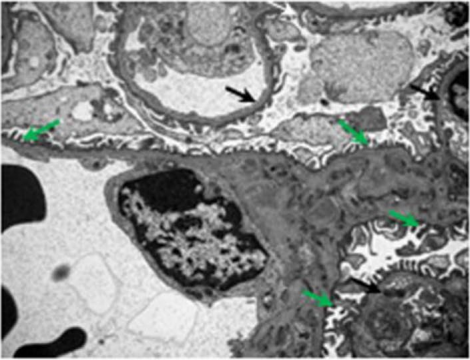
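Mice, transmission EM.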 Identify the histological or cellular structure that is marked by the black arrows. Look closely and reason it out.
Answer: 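The arrows point at a thin continuous grey band. The band separates a capillary lumen from a row of small cytoplasmic profiles on its other side.
Conclusion: glomerular basement membrane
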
